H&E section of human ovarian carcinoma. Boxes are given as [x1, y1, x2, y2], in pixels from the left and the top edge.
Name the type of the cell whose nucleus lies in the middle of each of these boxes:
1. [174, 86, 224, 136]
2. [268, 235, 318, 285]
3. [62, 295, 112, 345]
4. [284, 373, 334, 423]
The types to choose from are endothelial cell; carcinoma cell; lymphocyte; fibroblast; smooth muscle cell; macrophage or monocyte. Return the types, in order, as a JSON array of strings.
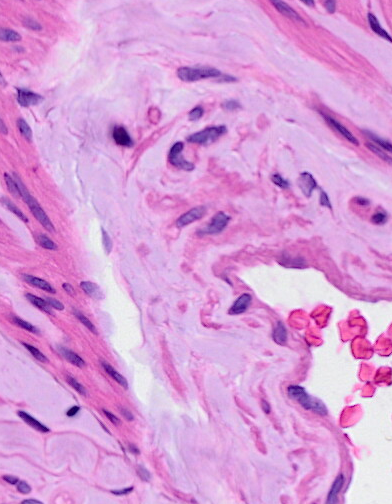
["smooth muscle cell", "endothelial cell", "smooth muscle cell", "endothelial cell"]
